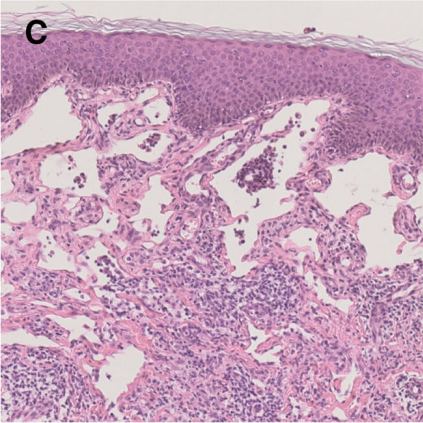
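Skin with a thick layer of epidermis above a dermis filled with many dilated, irregular, thin-walled vascular spaces. The spaces are lined by flat cells and some contain small clusters of inflammatory cells, while a dense cellular infiltrate of small round cells fills the dermis between and below them.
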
